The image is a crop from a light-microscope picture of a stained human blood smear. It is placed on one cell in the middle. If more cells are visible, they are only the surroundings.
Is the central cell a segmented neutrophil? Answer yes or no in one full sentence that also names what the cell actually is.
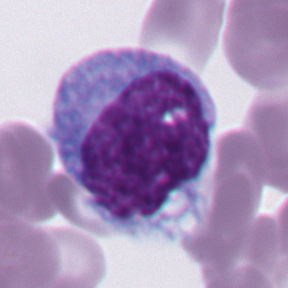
No, the central cell qualifies as a monocyte rather than as a segmented neutrophil.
